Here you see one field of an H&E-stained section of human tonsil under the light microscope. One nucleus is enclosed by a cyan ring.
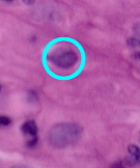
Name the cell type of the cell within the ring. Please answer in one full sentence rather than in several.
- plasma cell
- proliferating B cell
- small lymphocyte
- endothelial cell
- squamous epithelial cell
In cell-type terms, the cell within the ring is a squamous epithelial cell.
